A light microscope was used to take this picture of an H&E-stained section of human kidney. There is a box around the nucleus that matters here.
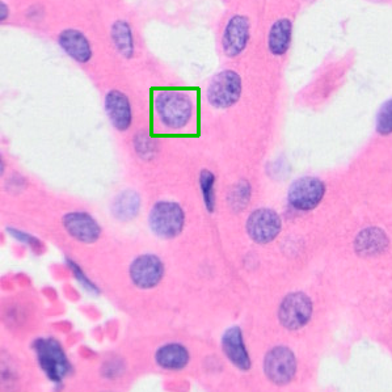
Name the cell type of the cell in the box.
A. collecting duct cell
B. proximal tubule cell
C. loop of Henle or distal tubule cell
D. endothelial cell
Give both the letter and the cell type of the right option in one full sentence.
Here the correct option is C, since the cell in the box is a loop of Henle or distal tubule cell.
